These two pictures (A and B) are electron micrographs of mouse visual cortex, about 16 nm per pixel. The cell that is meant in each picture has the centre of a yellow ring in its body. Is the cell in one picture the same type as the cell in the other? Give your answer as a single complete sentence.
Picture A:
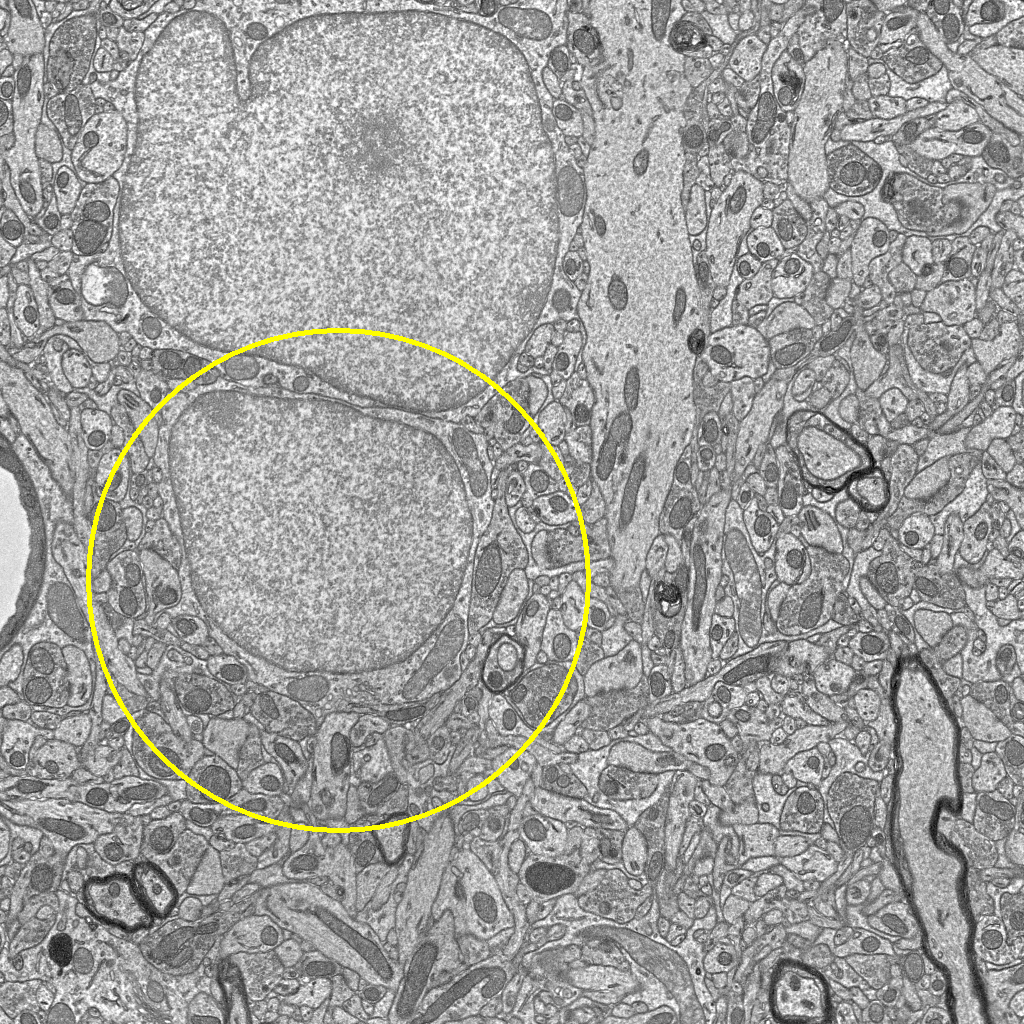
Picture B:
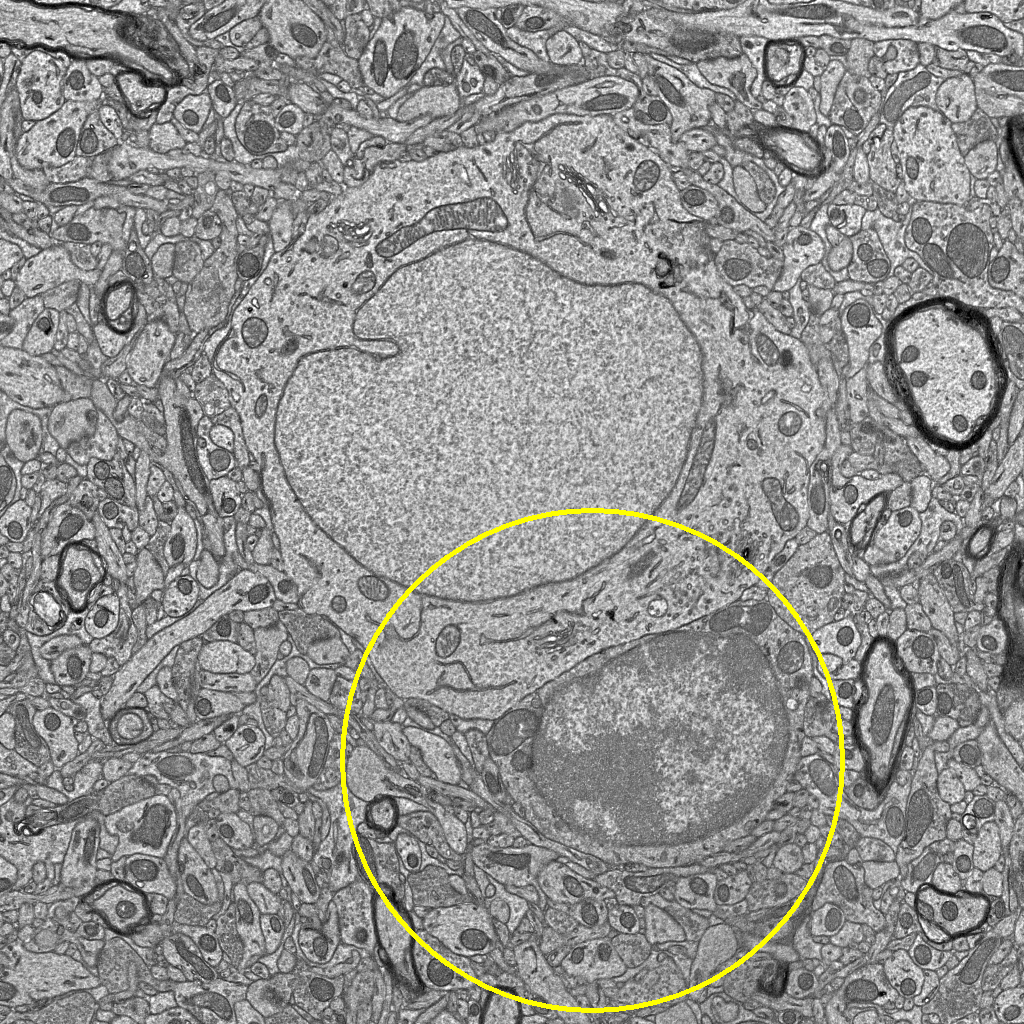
No, they differ: the cell is an astrocyte in picture A and an oligodendrocyte in picture B.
